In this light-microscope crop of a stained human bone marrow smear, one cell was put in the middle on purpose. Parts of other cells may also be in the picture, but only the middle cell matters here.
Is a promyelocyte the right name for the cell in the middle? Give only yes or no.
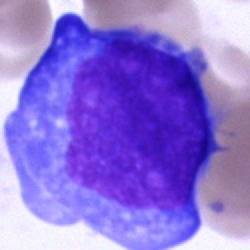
no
